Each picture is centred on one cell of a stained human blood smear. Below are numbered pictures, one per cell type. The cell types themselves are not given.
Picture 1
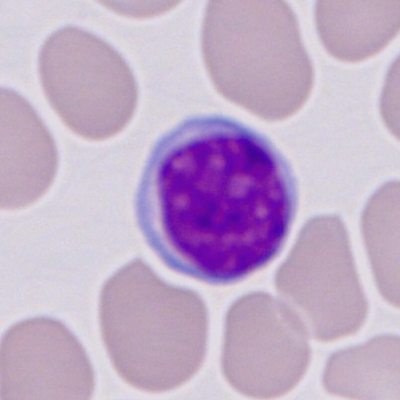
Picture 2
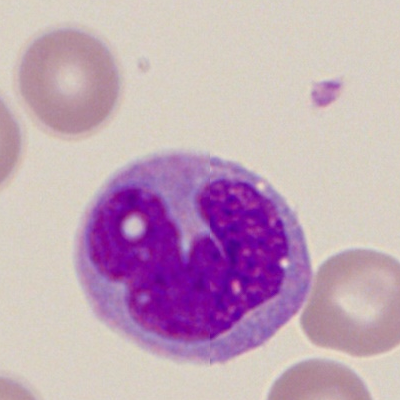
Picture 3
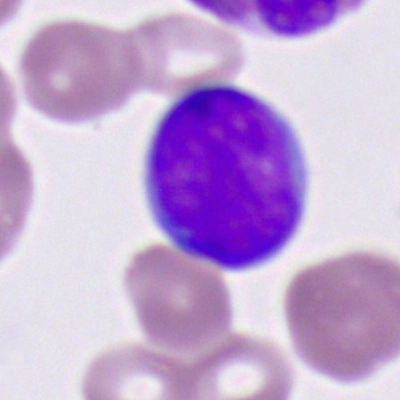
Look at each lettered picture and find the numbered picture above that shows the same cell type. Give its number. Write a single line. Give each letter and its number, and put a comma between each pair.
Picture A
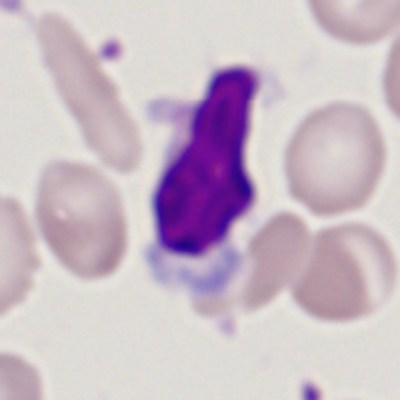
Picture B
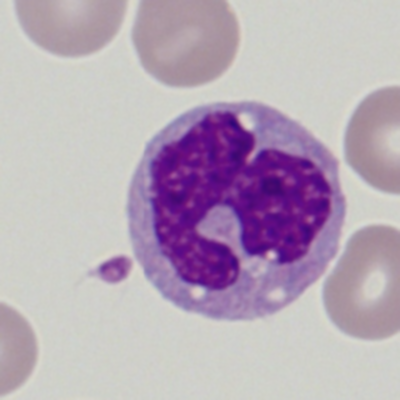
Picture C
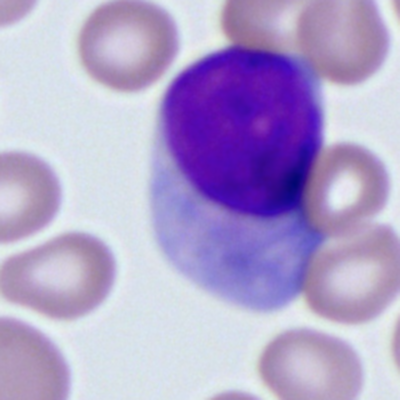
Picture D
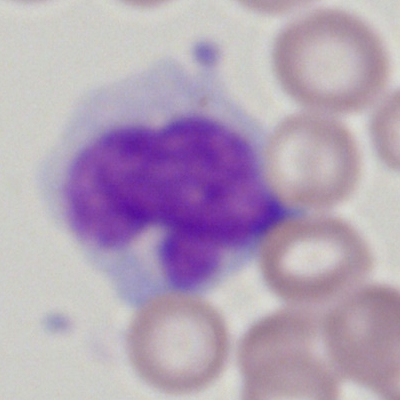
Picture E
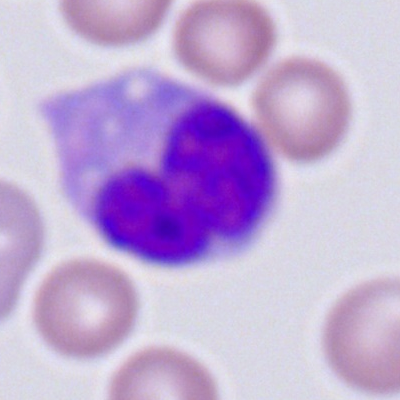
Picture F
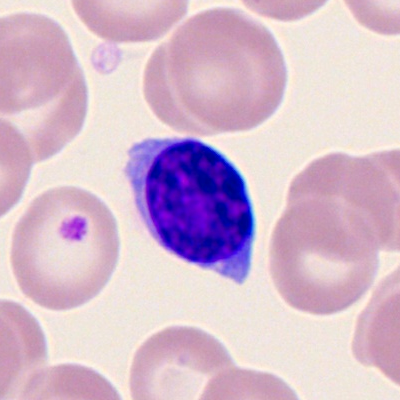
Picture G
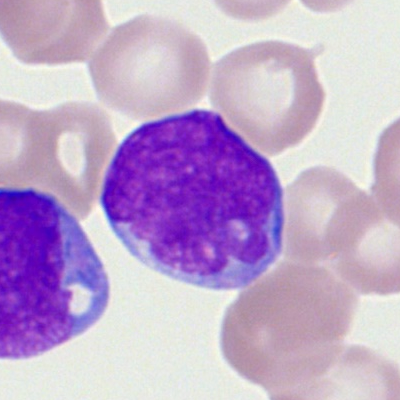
A 1, B 2, C 3, D 2, E 2, F 1, G 3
